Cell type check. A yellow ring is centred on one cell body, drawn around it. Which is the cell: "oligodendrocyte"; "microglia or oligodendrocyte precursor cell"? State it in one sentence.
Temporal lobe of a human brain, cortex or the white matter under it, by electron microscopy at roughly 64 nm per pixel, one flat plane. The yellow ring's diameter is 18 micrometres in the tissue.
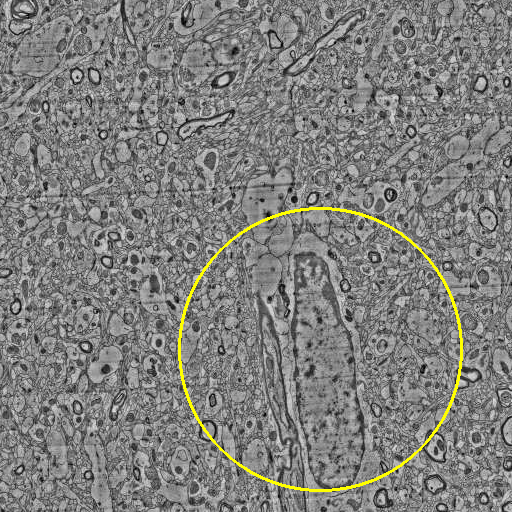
The cell body at the ring's centre belongs to a microglial cell or oligodendrocyte precursor cell.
